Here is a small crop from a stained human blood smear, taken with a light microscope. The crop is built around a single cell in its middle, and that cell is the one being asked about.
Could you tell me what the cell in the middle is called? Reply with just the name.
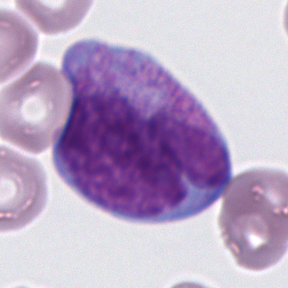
atypical promyelocyte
